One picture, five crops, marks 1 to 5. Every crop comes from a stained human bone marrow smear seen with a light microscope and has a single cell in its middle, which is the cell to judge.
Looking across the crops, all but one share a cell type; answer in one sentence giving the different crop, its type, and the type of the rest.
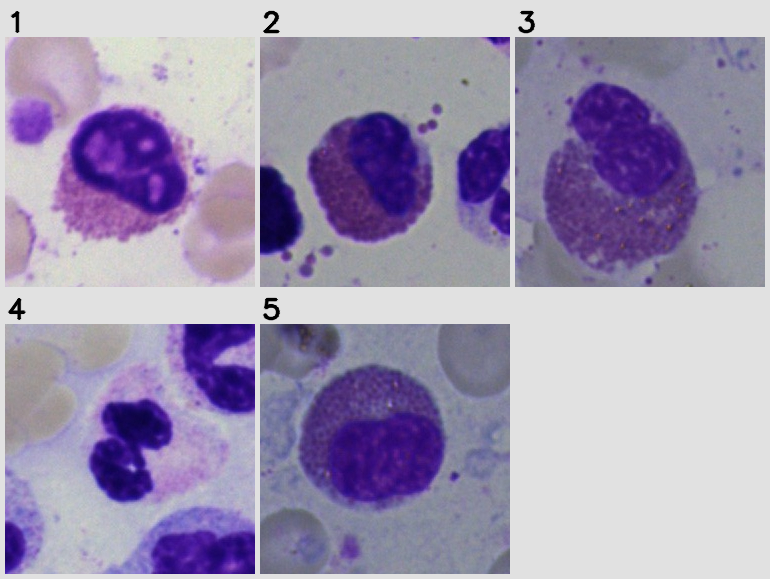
Seen in crop 4 is a segmented neutrophil, and seen in all other crops are eosinophils.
